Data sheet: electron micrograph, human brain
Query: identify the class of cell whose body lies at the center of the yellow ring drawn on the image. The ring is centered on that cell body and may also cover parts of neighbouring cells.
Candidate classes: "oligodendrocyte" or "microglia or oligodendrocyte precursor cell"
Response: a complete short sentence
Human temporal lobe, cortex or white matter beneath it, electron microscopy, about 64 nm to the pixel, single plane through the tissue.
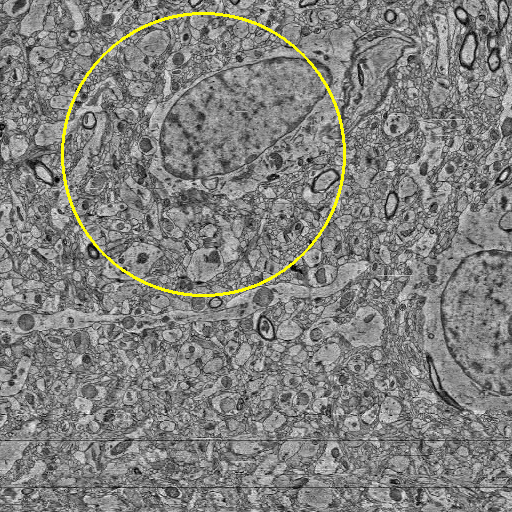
At the center of the ring lies a microglial cell or oligodendrocyte precursor cell.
